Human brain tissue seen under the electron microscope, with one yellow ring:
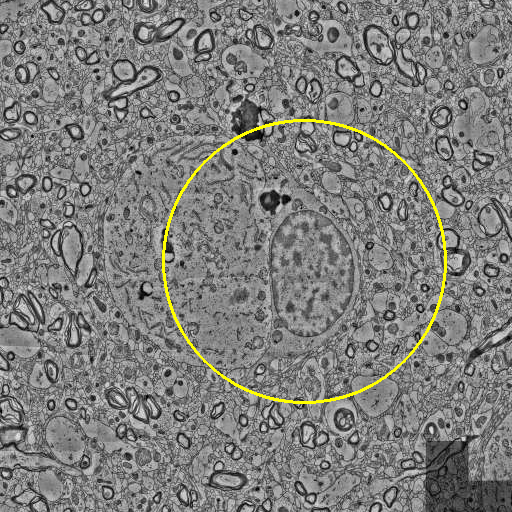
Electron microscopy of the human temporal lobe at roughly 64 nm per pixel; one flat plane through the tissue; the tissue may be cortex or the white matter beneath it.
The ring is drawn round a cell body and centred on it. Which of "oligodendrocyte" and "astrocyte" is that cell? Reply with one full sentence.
The picture shows an oligodendrocyte at the very centre of the yellow ring.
